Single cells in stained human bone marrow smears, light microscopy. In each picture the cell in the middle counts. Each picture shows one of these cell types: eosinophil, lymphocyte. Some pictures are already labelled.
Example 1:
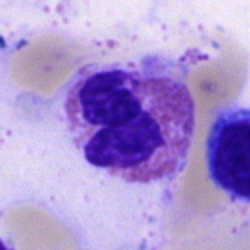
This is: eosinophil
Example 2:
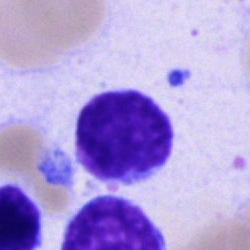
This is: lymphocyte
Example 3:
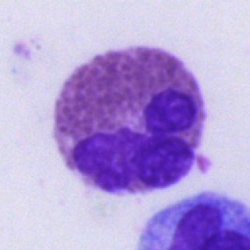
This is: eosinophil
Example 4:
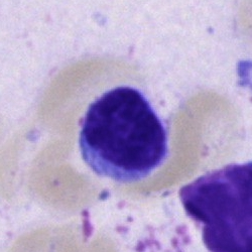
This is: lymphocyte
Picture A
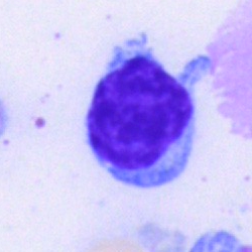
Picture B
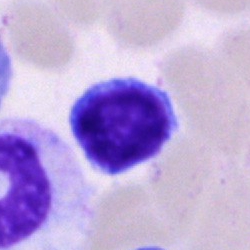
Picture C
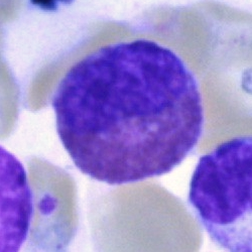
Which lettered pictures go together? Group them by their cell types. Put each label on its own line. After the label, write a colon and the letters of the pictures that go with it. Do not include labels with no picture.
eosinophil: C
lymphocyte: A, B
